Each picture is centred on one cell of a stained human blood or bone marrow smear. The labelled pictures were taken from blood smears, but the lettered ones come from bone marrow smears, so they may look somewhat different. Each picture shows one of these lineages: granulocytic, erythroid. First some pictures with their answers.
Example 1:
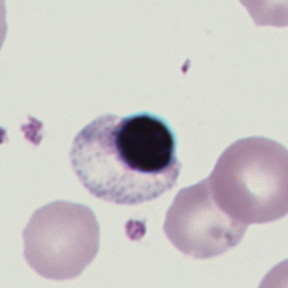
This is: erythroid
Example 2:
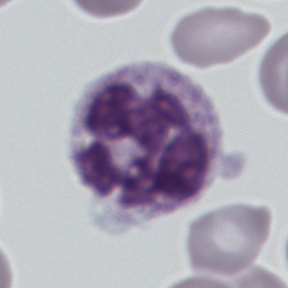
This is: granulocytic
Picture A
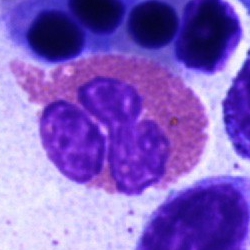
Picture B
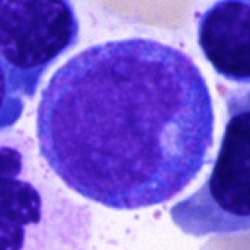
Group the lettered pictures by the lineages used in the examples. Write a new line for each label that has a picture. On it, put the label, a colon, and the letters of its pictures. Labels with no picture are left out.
granulocytic: A, B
